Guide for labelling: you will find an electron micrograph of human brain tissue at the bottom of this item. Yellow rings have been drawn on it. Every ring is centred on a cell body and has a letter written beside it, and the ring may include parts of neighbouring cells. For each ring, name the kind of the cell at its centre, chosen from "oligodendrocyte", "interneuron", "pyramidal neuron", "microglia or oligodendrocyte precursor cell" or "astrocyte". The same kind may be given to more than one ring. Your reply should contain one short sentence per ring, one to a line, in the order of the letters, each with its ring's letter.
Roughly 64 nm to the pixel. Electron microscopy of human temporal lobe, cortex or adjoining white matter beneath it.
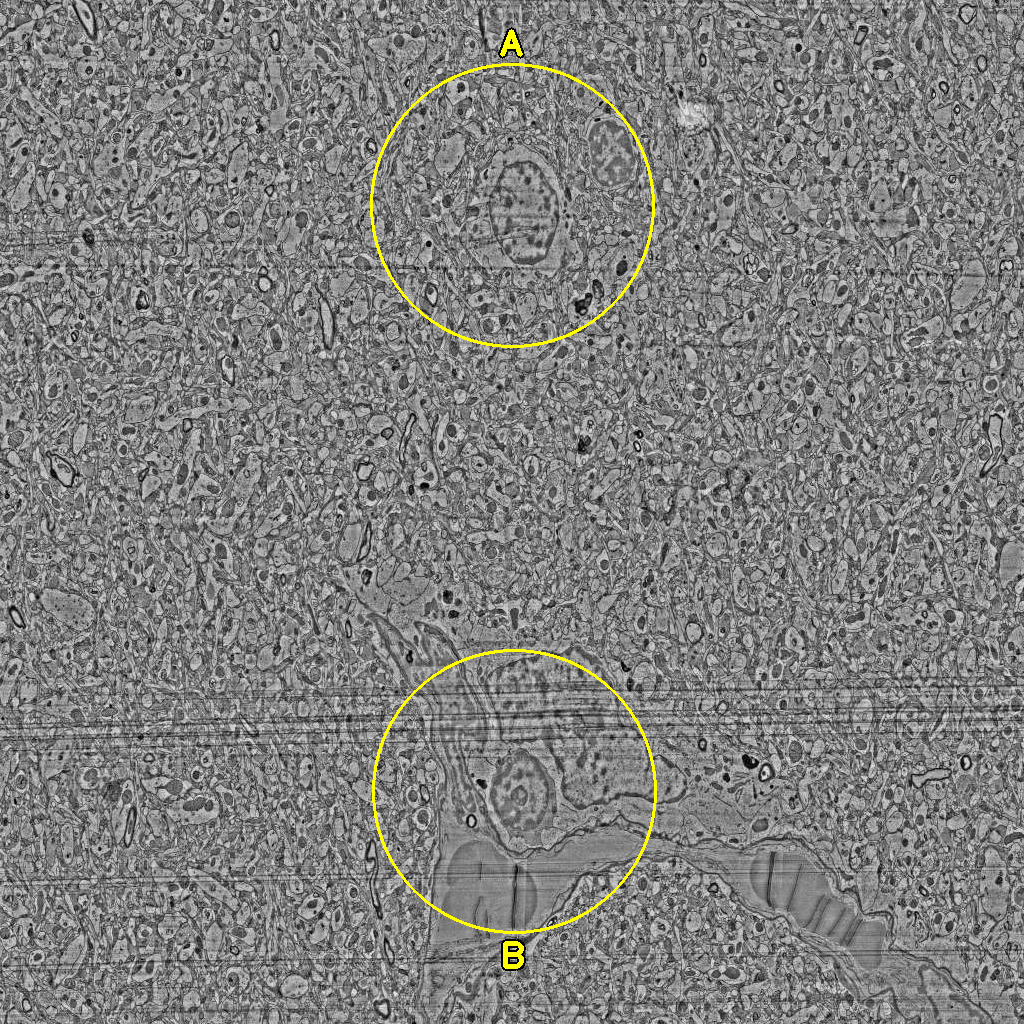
Ring A is centred on the body of an astrocyte.
Ring B is centred on the body of an oligodendrocyte.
